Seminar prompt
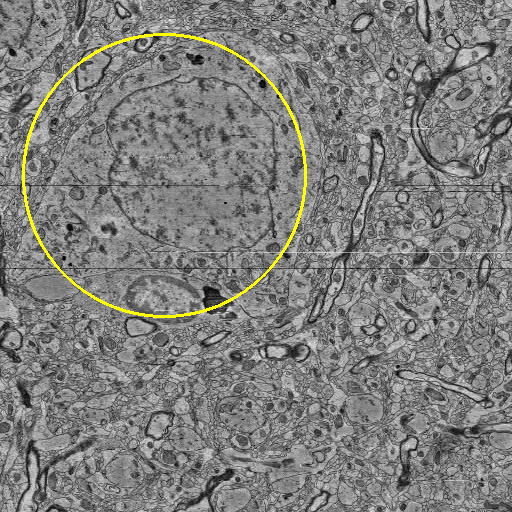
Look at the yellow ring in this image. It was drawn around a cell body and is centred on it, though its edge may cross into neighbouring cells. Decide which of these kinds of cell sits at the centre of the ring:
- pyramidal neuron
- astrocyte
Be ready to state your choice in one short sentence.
The kind of cell at the ring's centre is a pyramidal neuron.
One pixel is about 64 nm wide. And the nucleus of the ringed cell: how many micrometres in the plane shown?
In this plane, the nucleus measures approximately 12 micrometres across.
